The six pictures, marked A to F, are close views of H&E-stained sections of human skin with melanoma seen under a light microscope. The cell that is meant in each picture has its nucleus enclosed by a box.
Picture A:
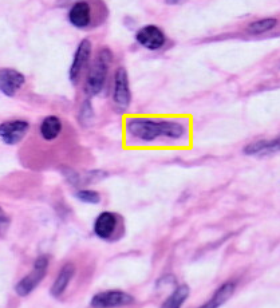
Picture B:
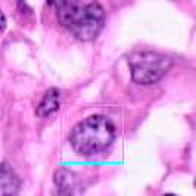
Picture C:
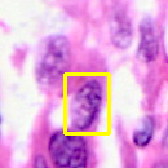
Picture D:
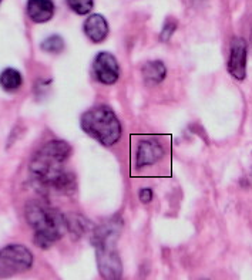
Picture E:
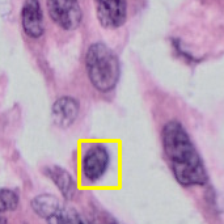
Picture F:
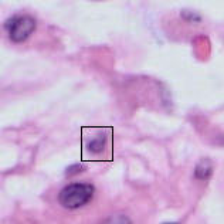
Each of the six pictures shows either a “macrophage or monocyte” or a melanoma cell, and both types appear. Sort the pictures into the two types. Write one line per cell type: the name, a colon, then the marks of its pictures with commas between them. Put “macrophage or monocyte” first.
macrophage or monocyte: A, D, F
melanoma cell: B, C, E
